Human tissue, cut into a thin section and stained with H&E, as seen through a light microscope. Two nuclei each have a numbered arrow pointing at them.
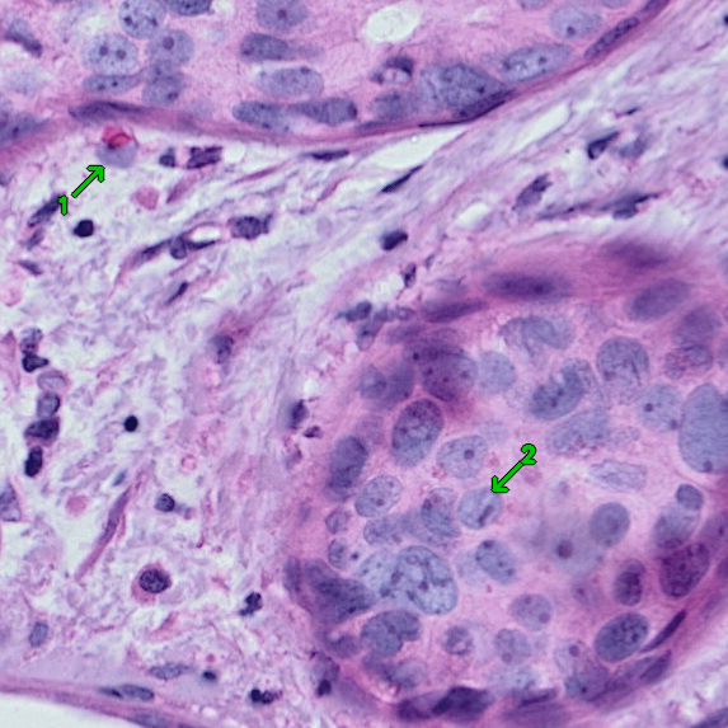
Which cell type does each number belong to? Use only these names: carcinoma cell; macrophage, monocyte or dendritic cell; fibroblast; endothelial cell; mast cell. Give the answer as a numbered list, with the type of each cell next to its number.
1. endothelial cell
2. carcinoma cell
